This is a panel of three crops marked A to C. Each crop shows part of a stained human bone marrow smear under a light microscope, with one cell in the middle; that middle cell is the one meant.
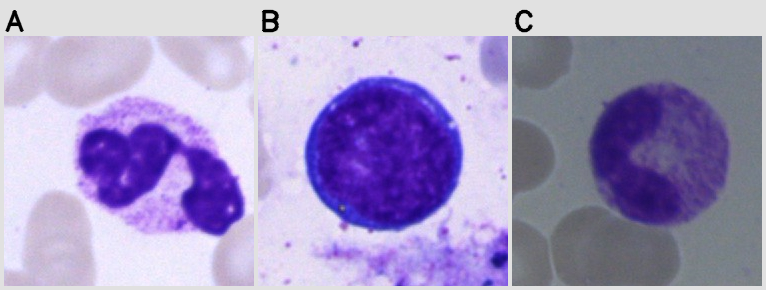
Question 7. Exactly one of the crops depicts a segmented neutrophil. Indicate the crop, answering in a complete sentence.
The crop with a segmented neutrophil in it is crop A.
